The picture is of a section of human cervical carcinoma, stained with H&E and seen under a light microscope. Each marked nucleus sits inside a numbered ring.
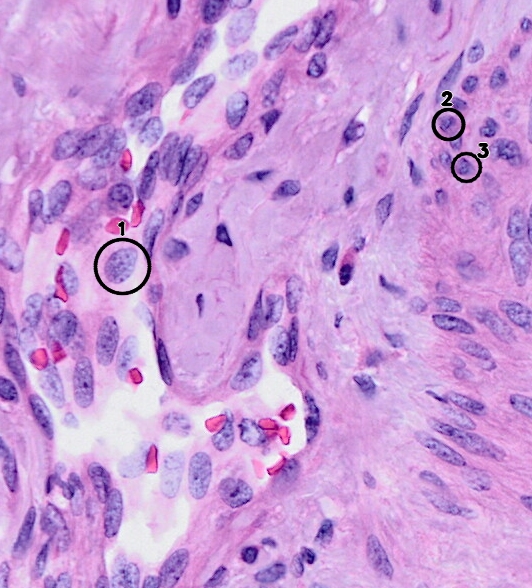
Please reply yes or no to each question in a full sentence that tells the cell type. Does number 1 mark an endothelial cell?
Yes, the cell that the number 1 labels is an endothelial cell.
